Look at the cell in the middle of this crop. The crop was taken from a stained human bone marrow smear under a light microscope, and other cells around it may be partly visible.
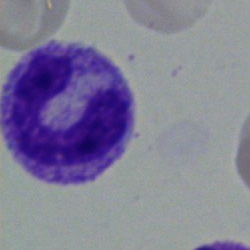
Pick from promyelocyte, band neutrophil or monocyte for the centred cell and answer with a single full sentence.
The cell nearest the centre of this crop is a band neutrophil.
